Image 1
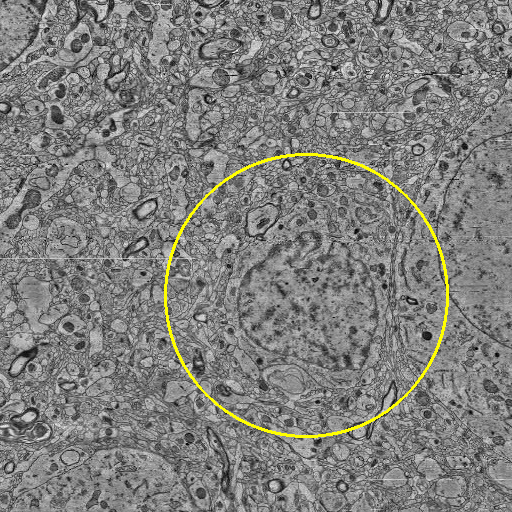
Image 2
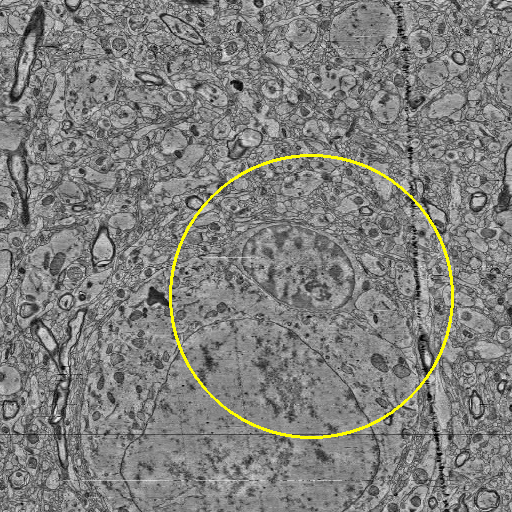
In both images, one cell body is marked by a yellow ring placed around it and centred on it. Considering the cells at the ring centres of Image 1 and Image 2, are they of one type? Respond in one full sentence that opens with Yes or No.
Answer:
No, two types apply to the ring-centred cells of Image 1 and Image 2.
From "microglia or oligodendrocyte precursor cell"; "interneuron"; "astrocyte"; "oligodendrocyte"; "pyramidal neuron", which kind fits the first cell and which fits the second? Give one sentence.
The cell marked in the first picture is an interneuron, and the one marked in the second is an oligodendrocyte.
